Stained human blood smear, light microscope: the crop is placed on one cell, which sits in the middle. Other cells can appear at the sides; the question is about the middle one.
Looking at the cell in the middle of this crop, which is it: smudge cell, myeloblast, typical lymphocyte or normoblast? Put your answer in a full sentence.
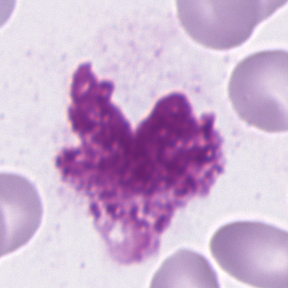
In this crop, the cell at the very middle is a smudge cell.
